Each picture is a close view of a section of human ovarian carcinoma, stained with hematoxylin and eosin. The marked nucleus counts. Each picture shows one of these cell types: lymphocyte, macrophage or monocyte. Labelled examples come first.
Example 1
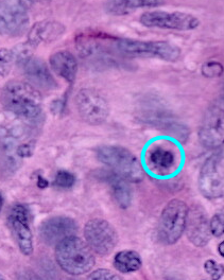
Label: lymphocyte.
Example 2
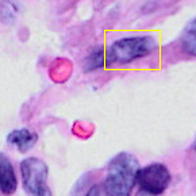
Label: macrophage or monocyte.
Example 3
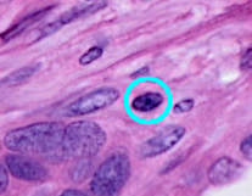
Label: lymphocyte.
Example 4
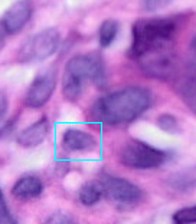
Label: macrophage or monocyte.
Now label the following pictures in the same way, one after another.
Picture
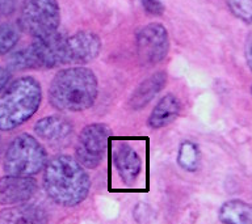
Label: macrophage or monocyte.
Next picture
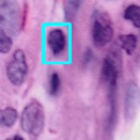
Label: lymphocyte.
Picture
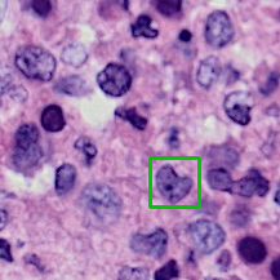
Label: macrophage or monocyte.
